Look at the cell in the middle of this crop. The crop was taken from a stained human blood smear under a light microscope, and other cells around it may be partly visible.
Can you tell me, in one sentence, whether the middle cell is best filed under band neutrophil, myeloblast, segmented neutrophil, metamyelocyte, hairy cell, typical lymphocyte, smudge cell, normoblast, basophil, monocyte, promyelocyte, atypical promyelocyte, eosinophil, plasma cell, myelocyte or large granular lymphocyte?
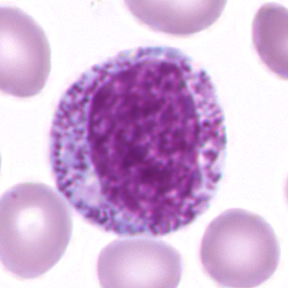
In the middle of this smear crop, the cell is a myelocyte.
